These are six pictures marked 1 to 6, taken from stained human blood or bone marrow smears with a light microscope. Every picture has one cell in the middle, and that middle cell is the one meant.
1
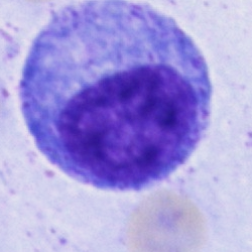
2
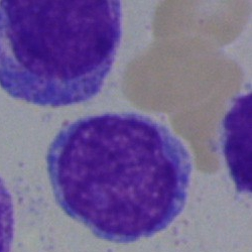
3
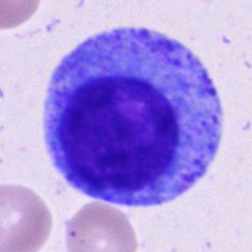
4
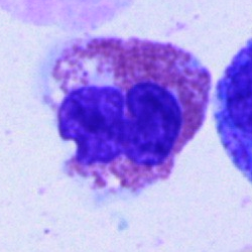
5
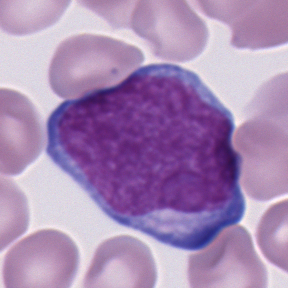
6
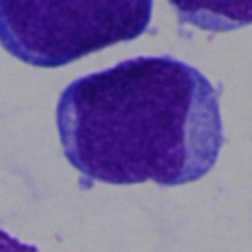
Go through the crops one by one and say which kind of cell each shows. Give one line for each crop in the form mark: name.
1: promyelocyte
2: blast
3: promyelocyte
4: eosinophil
5: blast
6: blast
